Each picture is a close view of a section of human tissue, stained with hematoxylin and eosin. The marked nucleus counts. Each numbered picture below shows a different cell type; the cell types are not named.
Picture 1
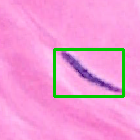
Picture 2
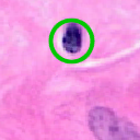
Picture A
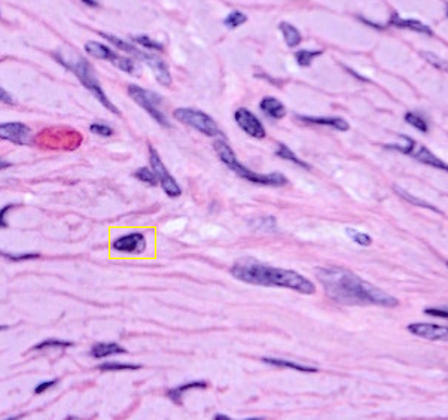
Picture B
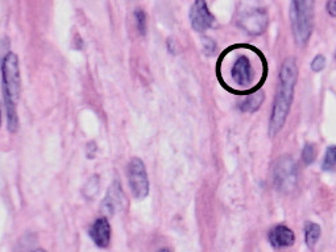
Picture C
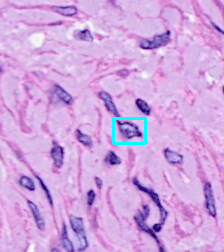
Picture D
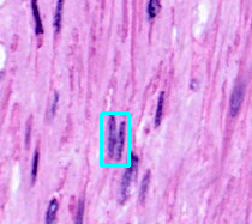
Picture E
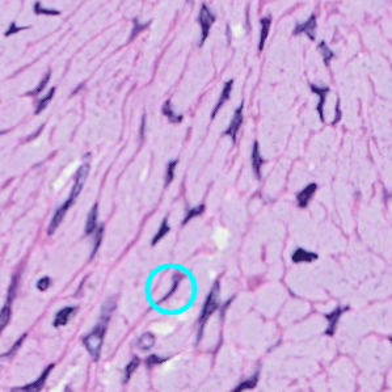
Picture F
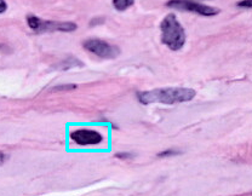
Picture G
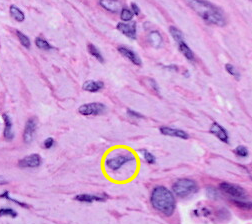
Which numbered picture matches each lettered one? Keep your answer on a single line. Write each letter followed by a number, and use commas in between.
A 2, B 2, C 1, D 1, E 1, F 2, G 1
